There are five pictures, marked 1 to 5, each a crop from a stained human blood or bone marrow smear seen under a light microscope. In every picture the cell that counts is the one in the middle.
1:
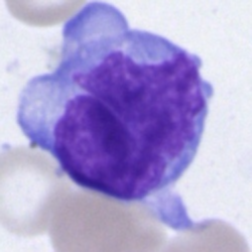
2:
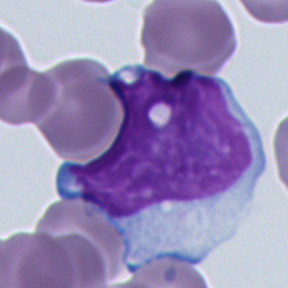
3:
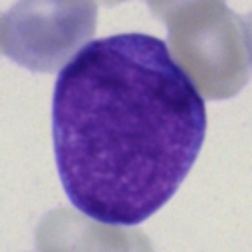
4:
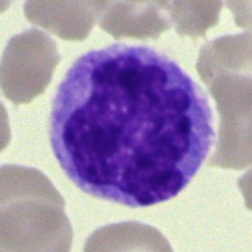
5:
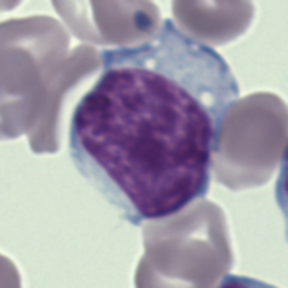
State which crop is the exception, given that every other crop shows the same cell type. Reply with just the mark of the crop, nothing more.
4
